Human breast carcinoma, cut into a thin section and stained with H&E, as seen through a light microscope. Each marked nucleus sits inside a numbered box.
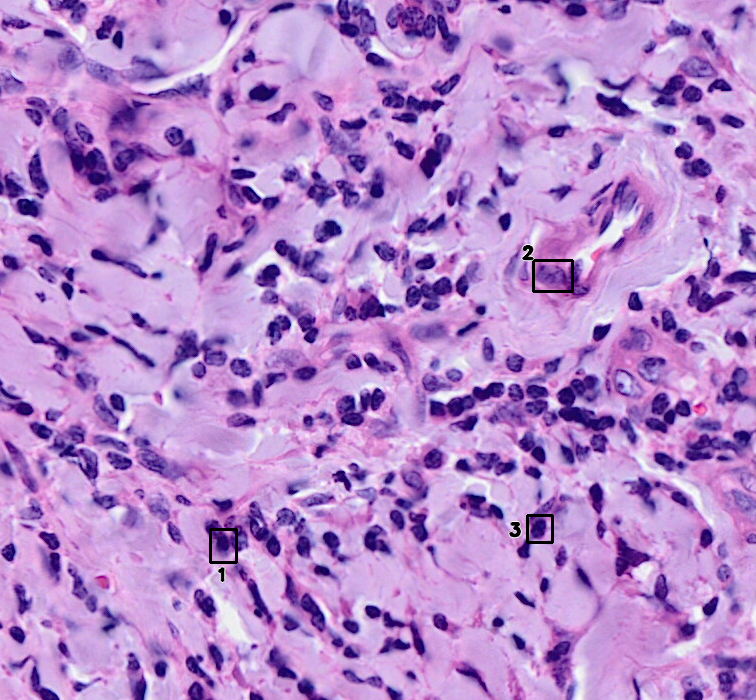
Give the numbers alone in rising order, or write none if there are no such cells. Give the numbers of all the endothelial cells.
2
